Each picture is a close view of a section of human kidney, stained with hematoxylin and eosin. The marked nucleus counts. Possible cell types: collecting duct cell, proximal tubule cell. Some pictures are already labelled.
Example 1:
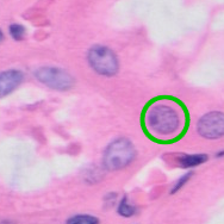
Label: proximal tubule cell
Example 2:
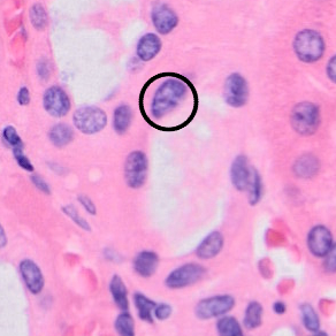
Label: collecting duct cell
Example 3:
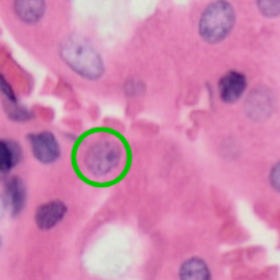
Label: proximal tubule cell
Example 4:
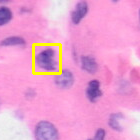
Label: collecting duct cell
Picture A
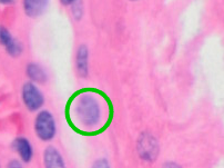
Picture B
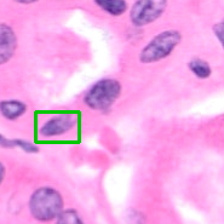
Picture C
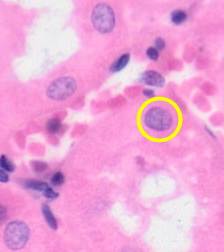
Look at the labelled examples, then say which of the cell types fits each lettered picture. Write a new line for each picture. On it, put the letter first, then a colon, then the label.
A: collecting duct cell
B: collecting duct cell
C: proximal tubule cell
